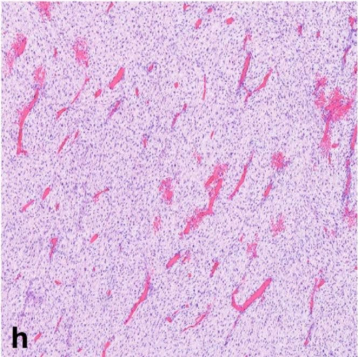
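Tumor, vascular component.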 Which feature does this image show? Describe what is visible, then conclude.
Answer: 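Small thin-walled vessels. Many narrow slit-like channels filled with red blood cells. The channels have no visible thick wall. They are scattered diffusely through pale tumor tissue.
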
